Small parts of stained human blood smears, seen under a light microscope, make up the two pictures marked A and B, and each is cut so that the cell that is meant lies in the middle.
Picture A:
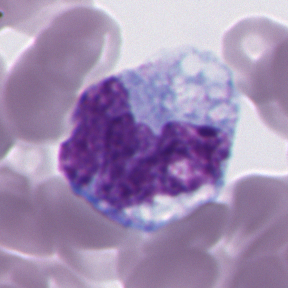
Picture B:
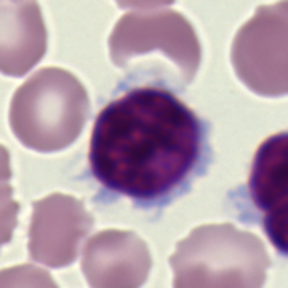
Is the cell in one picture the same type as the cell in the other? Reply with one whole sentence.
No. Picture A shows a monocyte, but picture B shows a hairy cell.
